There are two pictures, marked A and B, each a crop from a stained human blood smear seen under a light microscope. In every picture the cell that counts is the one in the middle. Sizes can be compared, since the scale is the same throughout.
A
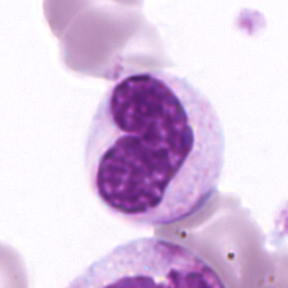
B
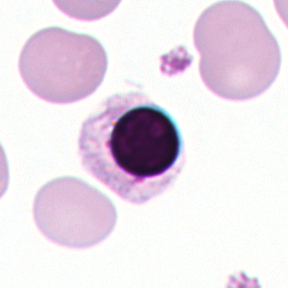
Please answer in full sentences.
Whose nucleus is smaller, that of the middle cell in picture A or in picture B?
Picture B shows the smaller nucleus, since that in picture A covers about 2.5 times as much area.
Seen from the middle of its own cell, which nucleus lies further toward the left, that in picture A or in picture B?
The nucleus in picture A lies further toward the left of its cell.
